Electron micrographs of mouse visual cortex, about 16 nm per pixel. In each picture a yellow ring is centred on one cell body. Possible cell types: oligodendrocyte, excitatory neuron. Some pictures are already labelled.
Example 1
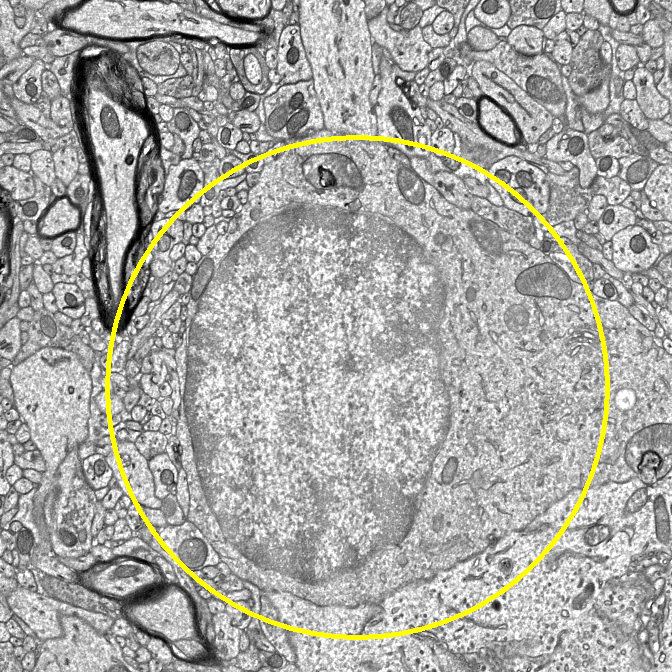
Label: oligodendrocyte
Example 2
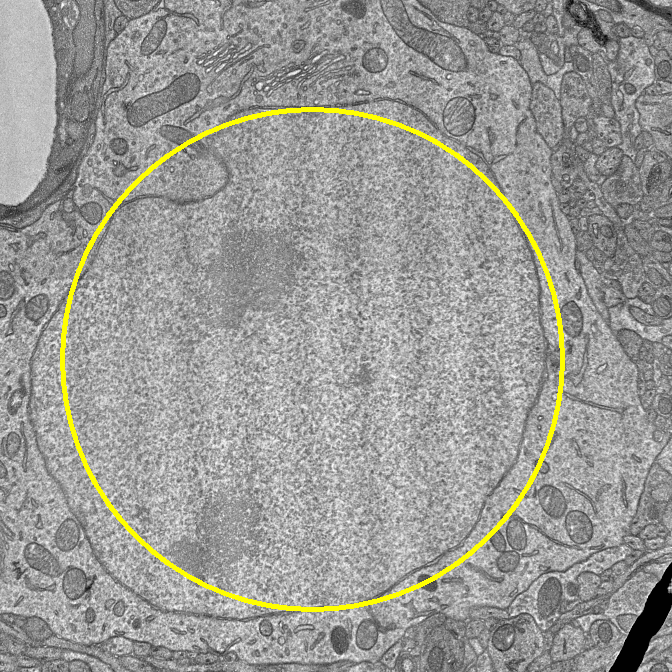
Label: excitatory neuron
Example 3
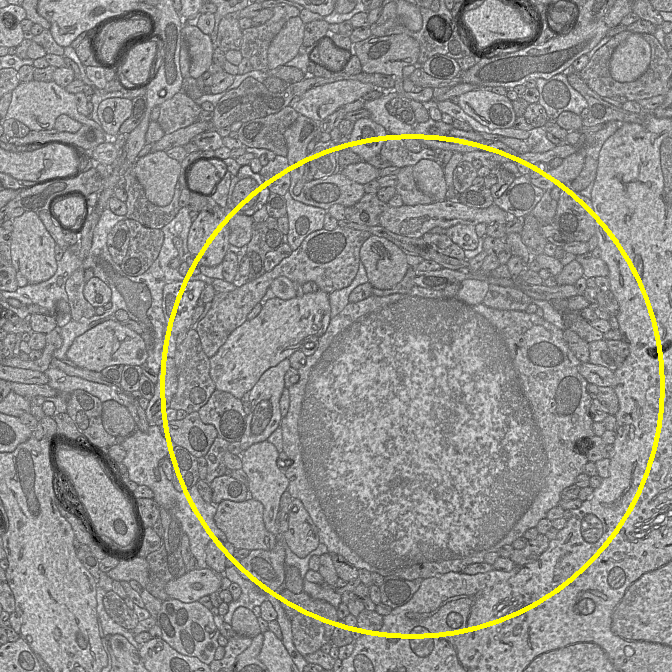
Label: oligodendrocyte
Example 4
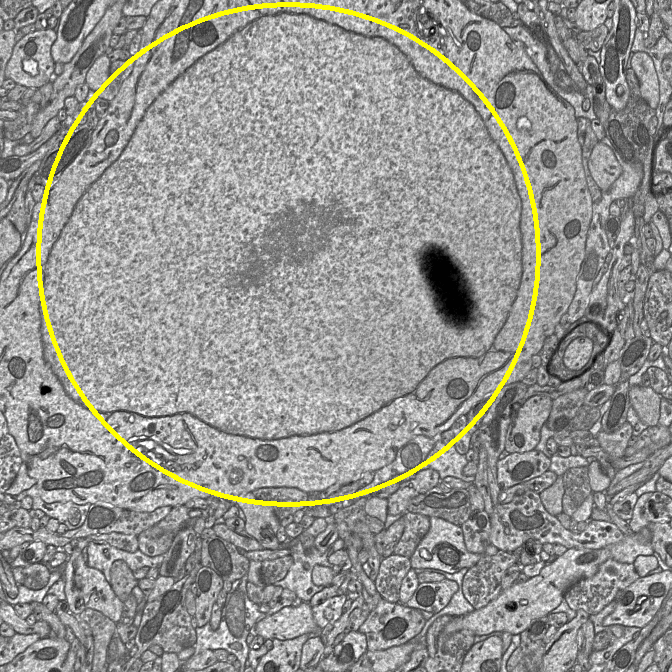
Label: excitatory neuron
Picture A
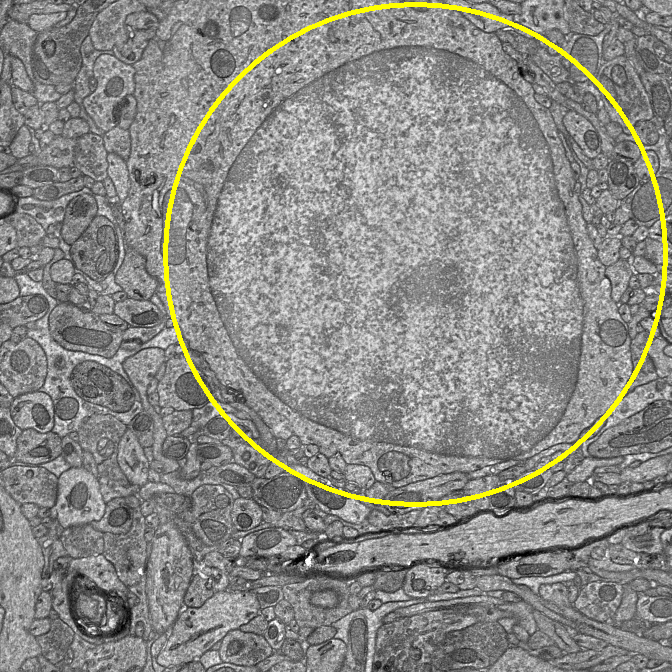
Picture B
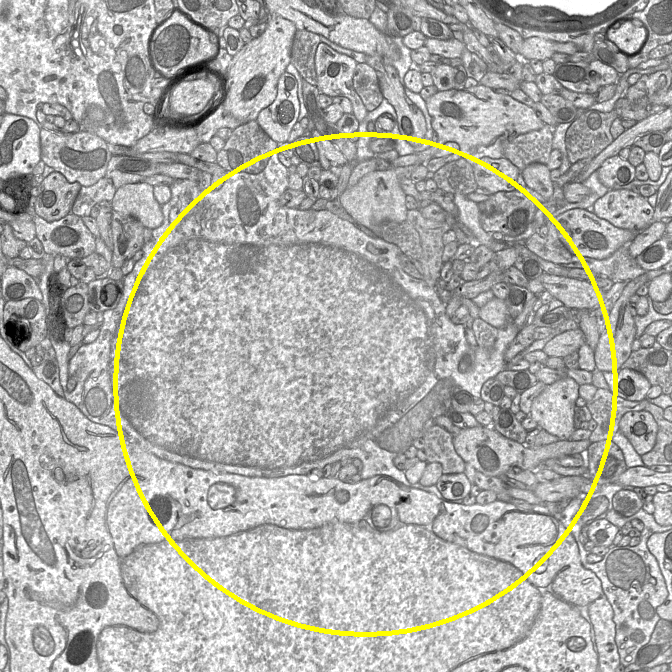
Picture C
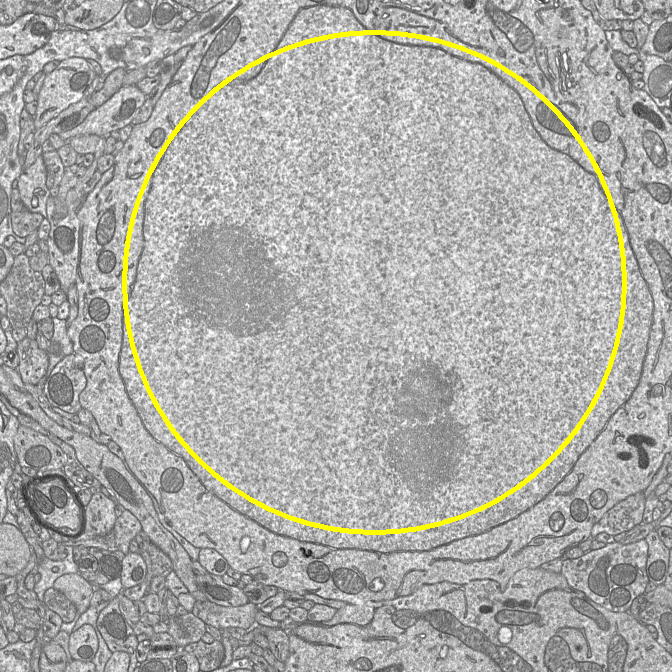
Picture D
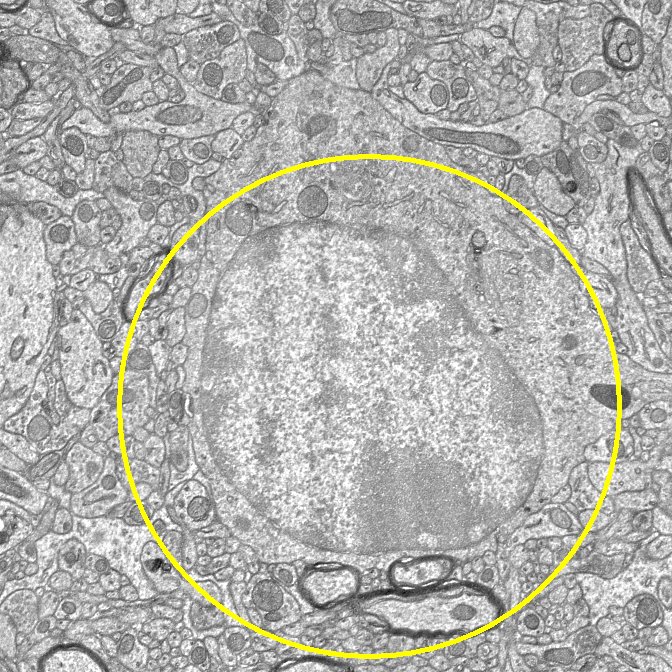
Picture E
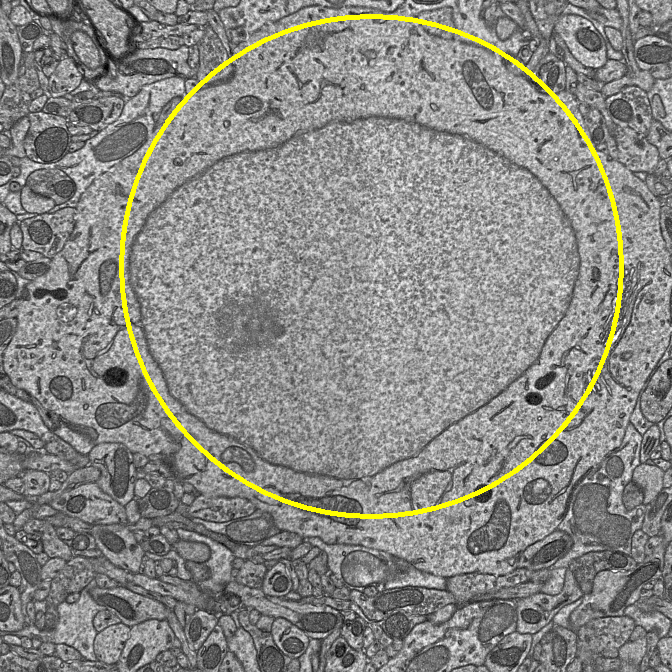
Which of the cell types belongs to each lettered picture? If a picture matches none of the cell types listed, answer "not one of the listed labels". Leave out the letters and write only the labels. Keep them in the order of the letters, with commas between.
oligodendrocyte, not one of the listed labels, excitatory neuron, oligodendrocyte, excitatory neuron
